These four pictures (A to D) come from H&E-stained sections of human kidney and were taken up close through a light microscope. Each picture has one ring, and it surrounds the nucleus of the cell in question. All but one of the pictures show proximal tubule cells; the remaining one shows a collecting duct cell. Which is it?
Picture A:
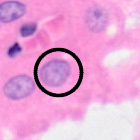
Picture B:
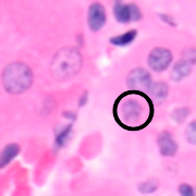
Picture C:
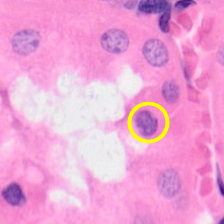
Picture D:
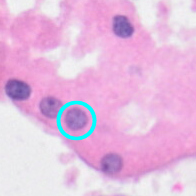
B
